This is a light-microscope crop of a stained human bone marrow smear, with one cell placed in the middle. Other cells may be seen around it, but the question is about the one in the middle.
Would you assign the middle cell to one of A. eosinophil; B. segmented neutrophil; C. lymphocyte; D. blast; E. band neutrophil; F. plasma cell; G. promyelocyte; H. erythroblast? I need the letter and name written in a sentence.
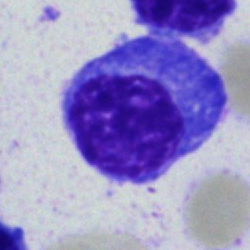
Since the cell in the middle is a plasma cell, option F is correct.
